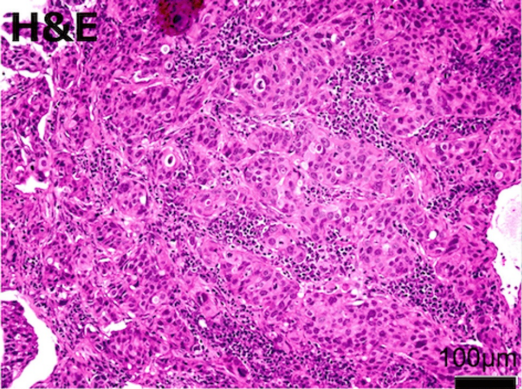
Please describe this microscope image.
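This is a malignant epithelial tumour growing in solid nests and broad sheets of large cells. The tumour cells have large, irregular, dark-purple nuclei and ample pink cytoplasm, and the nests are divided by narrow bands of stroma crowded with small, round, dark lymphocytes.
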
